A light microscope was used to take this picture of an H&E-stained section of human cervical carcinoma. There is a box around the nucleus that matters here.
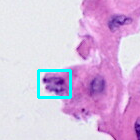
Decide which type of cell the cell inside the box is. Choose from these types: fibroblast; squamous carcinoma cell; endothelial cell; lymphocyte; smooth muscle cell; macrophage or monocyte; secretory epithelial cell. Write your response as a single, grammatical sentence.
It is as a squamous carcinoma cell that the cell inside the box is classified.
